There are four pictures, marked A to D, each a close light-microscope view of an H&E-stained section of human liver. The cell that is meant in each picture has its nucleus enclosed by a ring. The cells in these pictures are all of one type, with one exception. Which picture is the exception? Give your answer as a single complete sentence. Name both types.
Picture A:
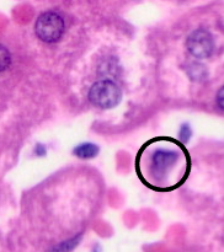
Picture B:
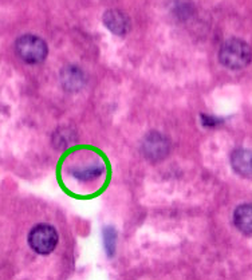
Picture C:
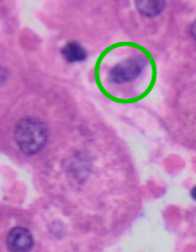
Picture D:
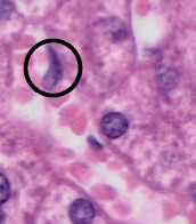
Unlike the rest, which show Kupffer cells, picture B shows an endothelial cell.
